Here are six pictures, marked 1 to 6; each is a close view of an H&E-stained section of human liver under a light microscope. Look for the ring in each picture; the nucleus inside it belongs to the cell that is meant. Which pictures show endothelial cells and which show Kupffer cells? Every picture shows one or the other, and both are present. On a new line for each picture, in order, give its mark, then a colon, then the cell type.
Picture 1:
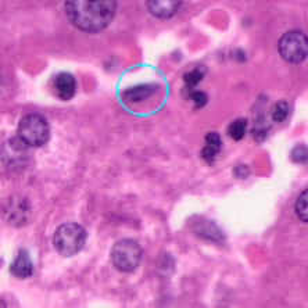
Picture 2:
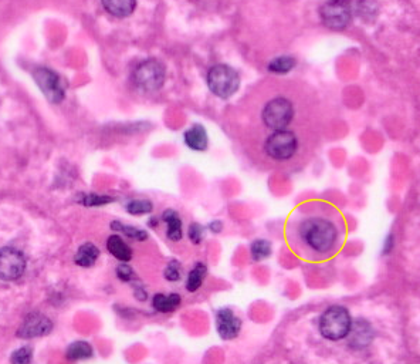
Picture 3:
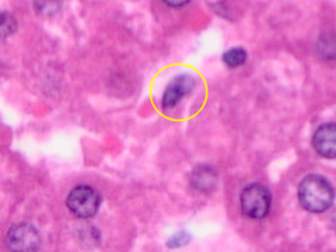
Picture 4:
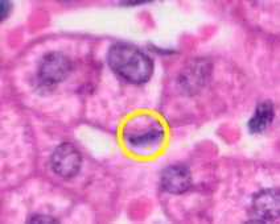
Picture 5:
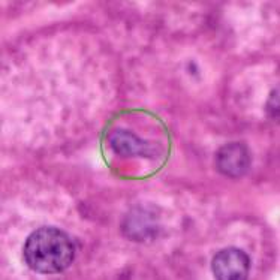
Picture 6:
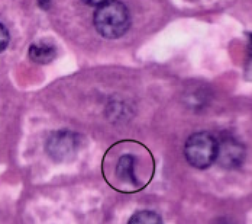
1: endothelial cell
2: Kupffer cell
3: Kupffer cell
4: endothelial cell
5: Kupffer cell
6: endothelial cell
